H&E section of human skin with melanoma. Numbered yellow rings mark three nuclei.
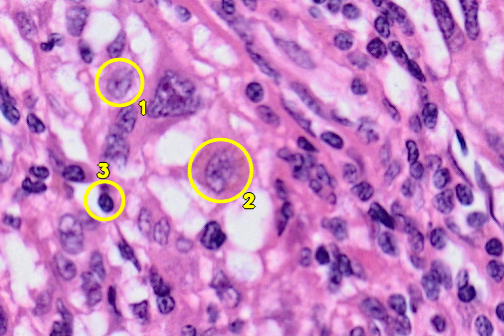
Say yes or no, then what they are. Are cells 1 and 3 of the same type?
No, cell 1 here is a melanoma cell, and cell 3 here is a lymphocyte.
